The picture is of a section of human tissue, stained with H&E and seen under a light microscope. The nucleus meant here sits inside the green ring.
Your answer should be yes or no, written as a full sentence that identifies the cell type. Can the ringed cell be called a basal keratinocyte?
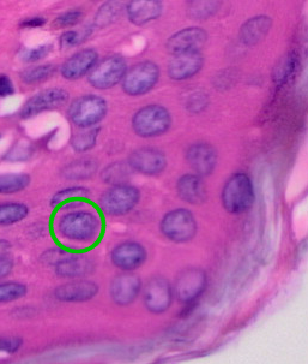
No, on this slide the ringed cell is a suprabasal keratinocyte, not a basal keratinocyte.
